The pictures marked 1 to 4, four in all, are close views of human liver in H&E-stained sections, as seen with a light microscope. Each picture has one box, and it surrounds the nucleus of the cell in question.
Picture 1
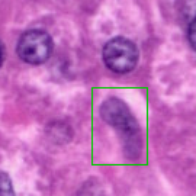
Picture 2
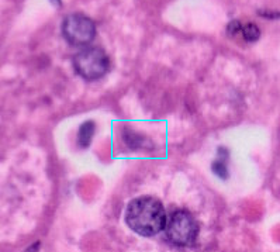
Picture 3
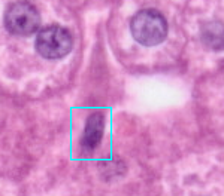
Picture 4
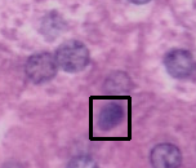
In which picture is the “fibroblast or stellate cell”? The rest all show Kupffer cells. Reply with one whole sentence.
It is picture 4 that shows the “fibroblast or stellate cell”.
